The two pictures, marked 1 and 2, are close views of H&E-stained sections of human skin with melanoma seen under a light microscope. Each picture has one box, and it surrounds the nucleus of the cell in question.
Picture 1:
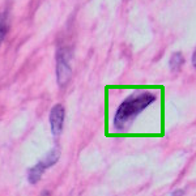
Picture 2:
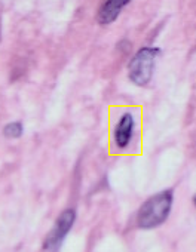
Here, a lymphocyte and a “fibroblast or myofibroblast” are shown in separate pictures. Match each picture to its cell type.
1: fibroblast or myofibroblast
2: lymphocyte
